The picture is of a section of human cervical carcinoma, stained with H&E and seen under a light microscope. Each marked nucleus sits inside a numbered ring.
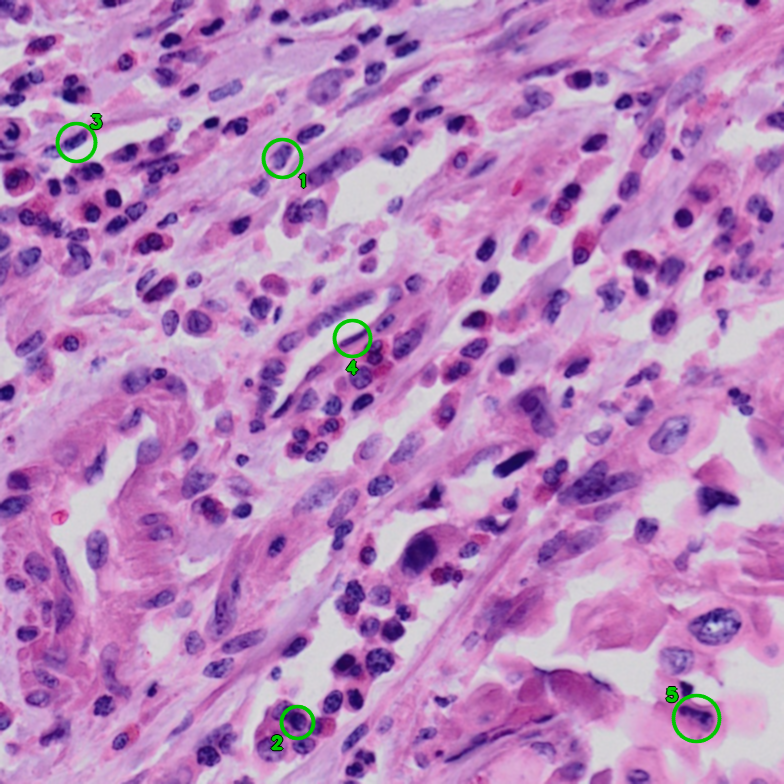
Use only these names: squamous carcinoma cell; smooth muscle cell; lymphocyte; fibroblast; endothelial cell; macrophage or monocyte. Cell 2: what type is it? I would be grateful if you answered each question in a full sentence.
The cell carrying label 2 is identified as a lymphocyte.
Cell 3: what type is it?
The correct answer for cell 3 is a lymphocyte.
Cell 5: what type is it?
That cell with number 5 is a squamous carcinoma cell.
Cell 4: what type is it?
The cell with the number 4 is an endothelial cell.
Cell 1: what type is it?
The cell that is numbered 1 is a lymphocyte.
